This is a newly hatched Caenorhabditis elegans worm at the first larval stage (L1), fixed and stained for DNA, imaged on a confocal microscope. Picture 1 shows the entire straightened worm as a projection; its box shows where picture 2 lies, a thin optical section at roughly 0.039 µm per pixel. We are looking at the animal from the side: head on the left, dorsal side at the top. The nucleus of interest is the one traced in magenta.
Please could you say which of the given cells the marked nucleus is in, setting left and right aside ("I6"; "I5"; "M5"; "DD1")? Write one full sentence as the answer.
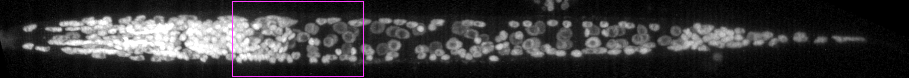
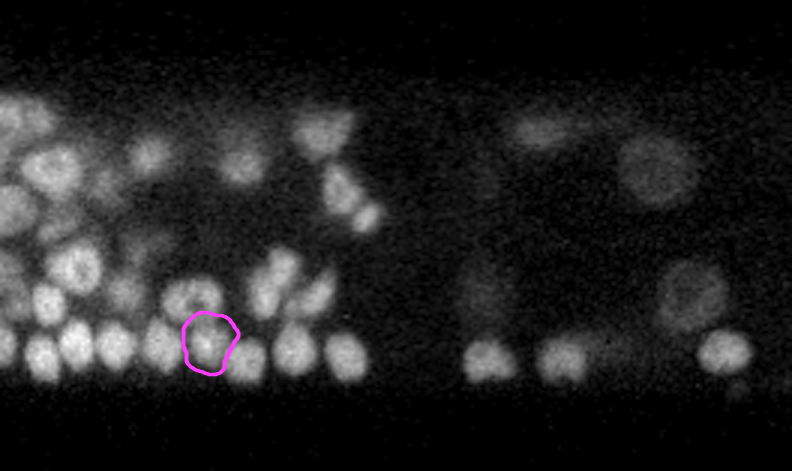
This is the nucleus of DD1, a neuron.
